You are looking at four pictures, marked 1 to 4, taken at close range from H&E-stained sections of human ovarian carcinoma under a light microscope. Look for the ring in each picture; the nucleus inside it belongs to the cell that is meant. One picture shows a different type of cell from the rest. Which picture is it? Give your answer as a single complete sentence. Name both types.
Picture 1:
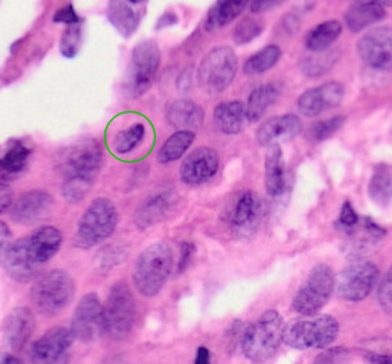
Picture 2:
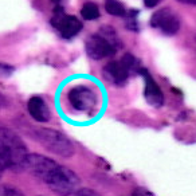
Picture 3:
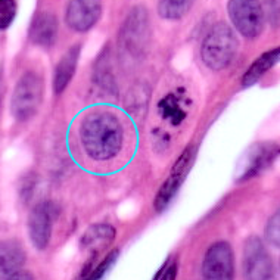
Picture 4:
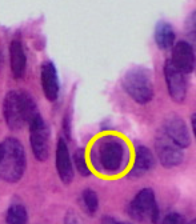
The different one is picture 4; it shows a carcinoma cell, whereas all the others show “macrophages or monocytes”.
